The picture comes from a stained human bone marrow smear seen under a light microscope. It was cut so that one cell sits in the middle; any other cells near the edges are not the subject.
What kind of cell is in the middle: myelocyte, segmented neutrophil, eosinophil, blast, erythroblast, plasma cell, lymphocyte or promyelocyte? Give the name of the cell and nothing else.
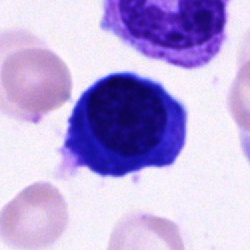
plasma cell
